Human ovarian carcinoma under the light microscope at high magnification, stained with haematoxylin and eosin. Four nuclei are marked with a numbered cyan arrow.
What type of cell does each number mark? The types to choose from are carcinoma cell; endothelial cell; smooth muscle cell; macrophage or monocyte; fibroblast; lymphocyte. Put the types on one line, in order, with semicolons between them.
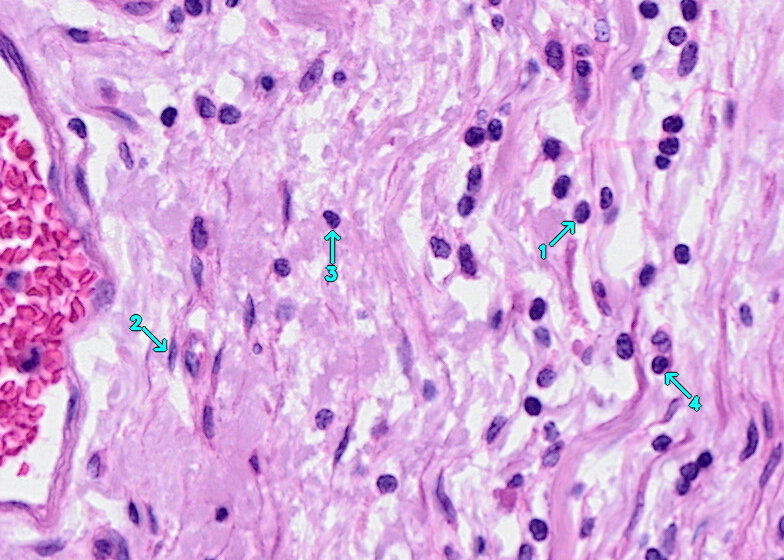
lymphocyte; fibroblast; lymphocyte; lymphocyte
